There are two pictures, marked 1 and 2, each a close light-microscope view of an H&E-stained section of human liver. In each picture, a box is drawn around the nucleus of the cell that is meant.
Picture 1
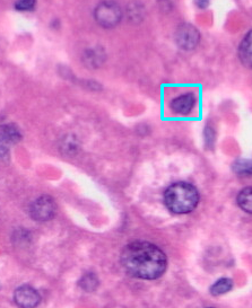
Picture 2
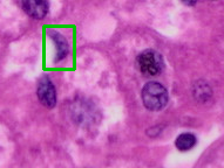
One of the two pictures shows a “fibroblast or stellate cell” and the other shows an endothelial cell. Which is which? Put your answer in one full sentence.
Picture 1 is of a “fibroblast or stellate cell”, and picture 2 is of an endothelial cell.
